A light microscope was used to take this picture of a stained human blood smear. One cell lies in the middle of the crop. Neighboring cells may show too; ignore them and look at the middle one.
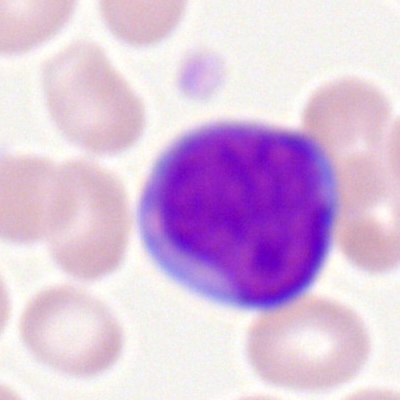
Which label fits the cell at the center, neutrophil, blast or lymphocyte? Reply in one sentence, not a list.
Occupying the centre of the crop is a blast.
